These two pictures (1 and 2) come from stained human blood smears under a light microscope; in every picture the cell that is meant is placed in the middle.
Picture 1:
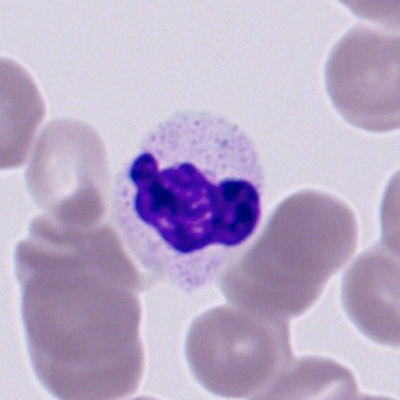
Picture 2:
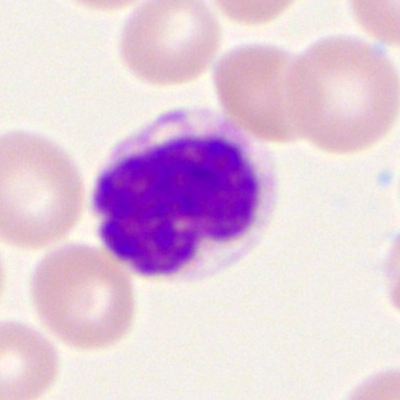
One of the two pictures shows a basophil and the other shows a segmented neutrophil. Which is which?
1: segmented neutrophil
2: basophil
